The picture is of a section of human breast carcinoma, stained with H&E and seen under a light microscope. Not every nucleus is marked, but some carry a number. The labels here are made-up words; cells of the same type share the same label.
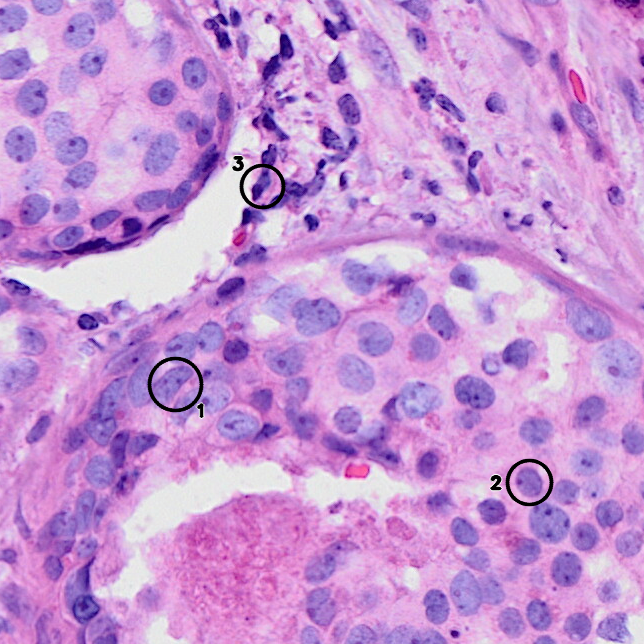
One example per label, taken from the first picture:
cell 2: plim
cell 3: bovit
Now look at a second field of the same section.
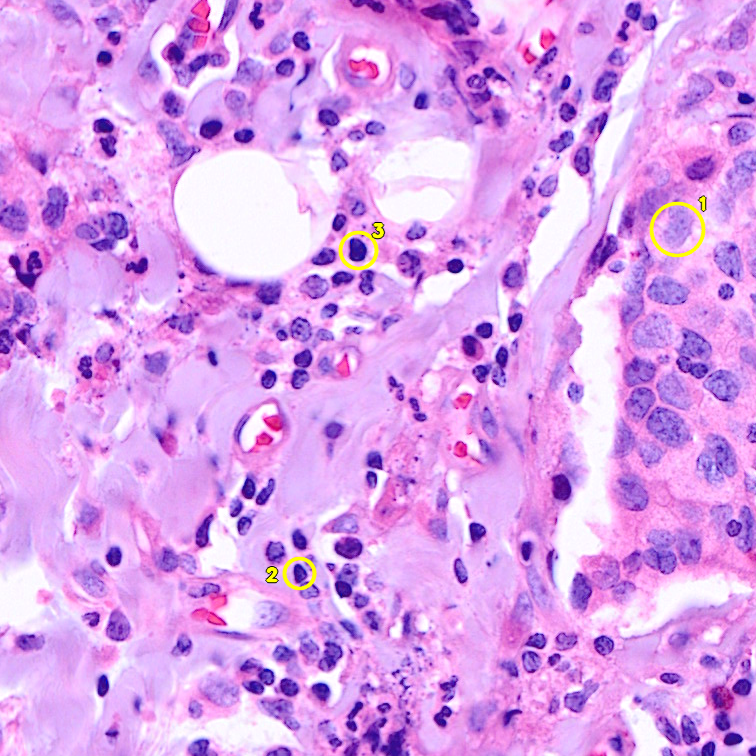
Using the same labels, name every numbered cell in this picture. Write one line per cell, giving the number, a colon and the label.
1: plim
2: bovit
3: bovit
